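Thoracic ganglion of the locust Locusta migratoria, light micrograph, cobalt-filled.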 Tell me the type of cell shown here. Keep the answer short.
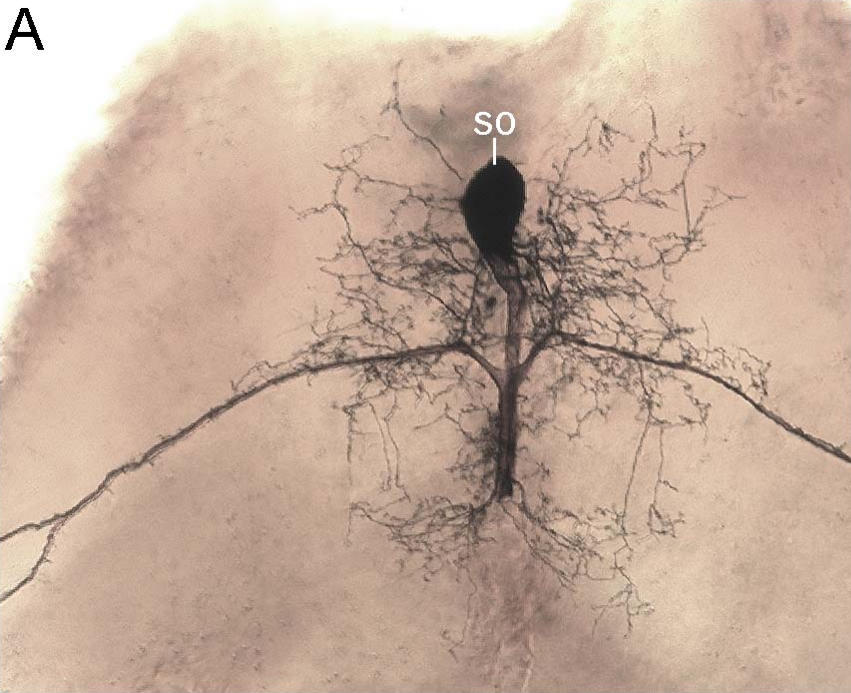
Dorsal unpaired median neuron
